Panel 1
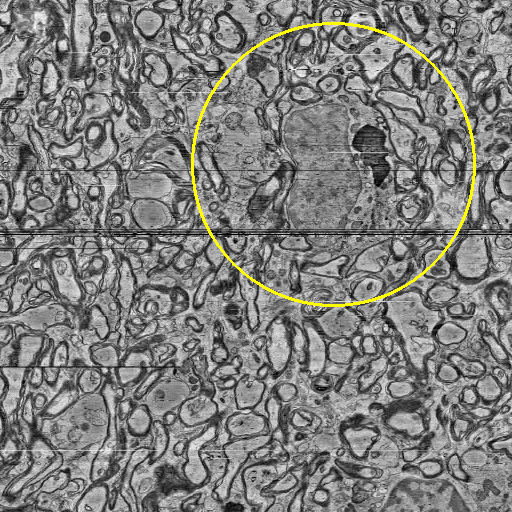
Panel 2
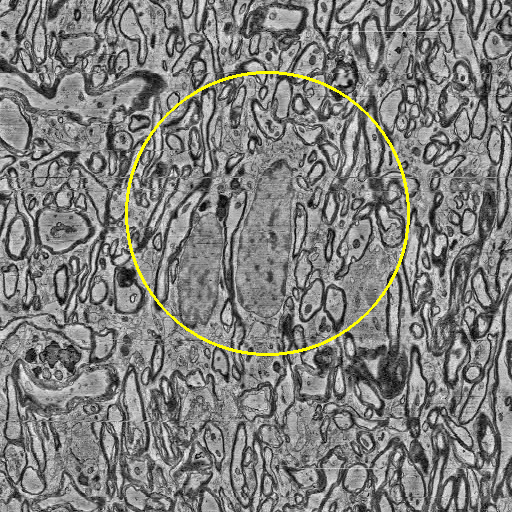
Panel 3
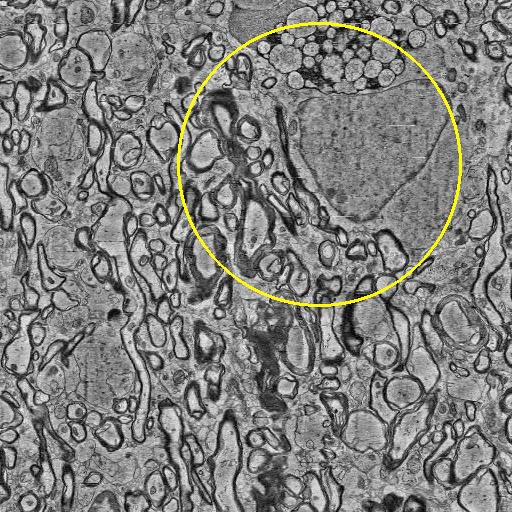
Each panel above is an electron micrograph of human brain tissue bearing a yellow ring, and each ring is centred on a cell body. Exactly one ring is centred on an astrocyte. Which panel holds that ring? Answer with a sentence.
That ring is in Panel 3.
